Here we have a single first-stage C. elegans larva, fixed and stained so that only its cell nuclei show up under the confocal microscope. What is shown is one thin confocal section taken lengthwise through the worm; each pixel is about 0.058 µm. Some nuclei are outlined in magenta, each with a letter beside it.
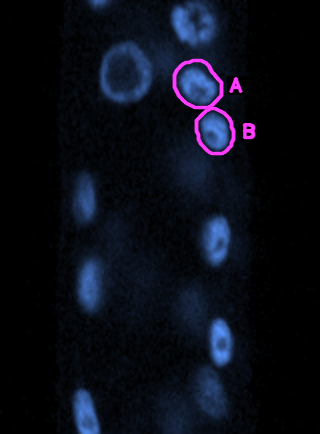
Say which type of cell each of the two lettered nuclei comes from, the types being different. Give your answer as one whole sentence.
One is from a somatic gonad precursor, namely A, and the other, B, is from a body wall muscle cell.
